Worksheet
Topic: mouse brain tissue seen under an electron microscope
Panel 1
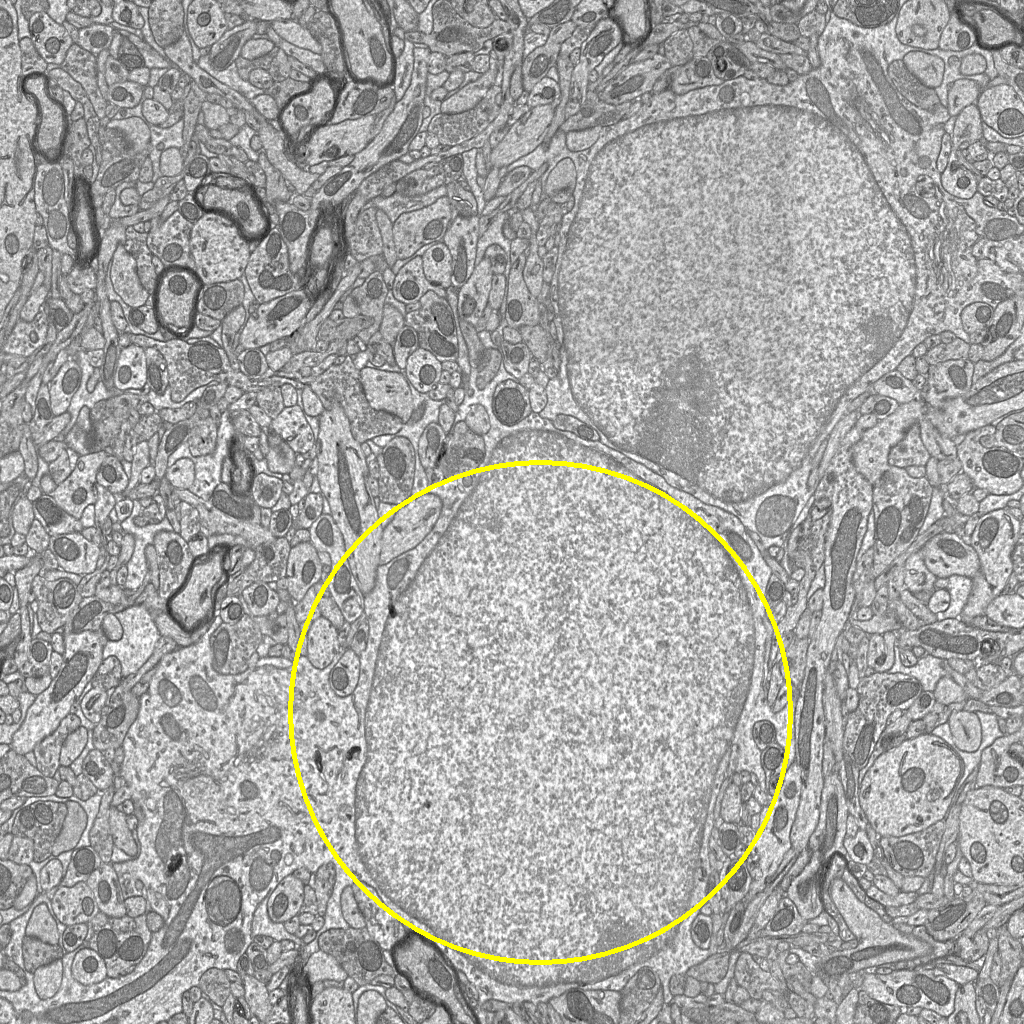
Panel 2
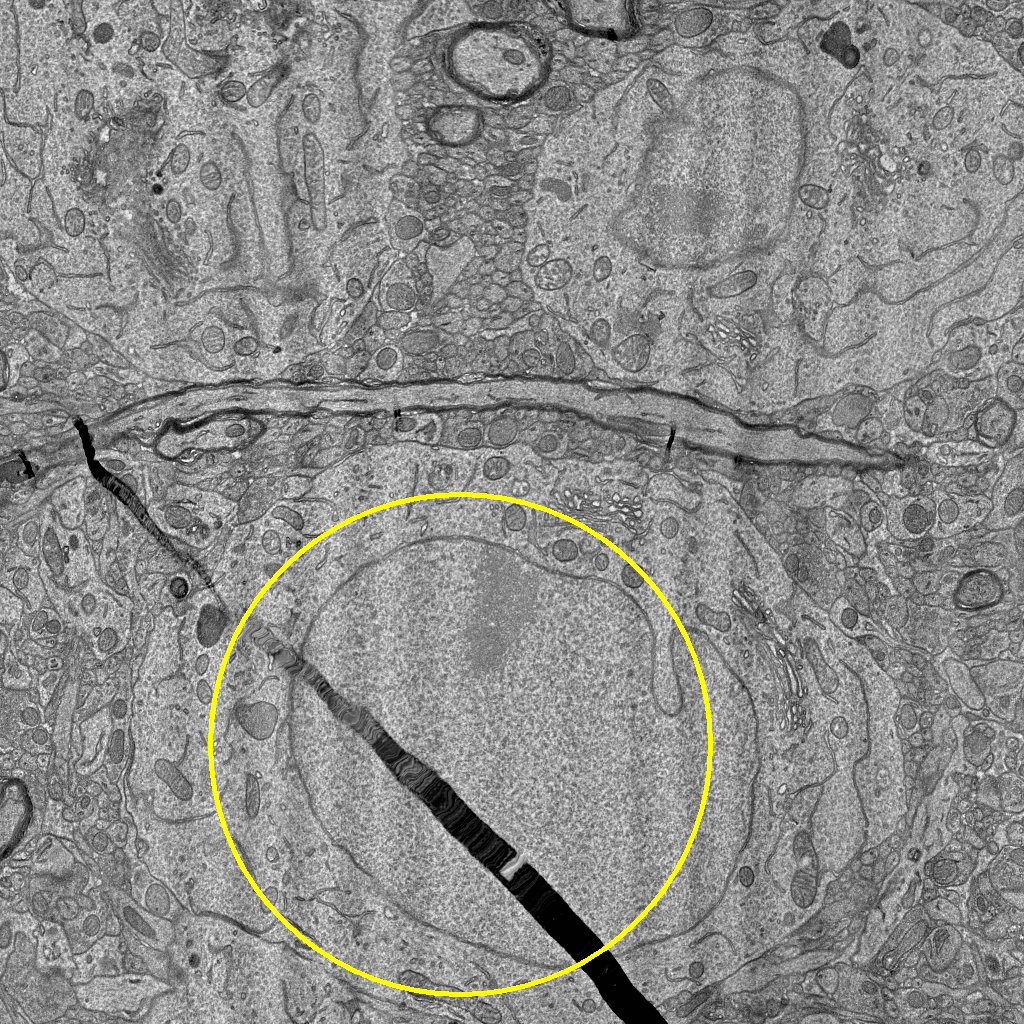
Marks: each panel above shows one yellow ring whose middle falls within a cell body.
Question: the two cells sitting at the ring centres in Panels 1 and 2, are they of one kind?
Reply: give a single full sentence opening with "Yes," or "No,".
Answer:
No, the two cells at the ring centres in Panel 1 and Panel 2 are of two kinds.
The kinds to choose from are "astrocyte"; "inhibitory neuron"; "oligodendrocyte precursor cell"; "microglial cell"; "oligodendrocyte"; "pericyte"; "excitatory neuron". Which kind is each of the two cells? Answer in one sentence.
The first picture has an astrocyte at its ring centre, and the second has an excitatory neuron.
